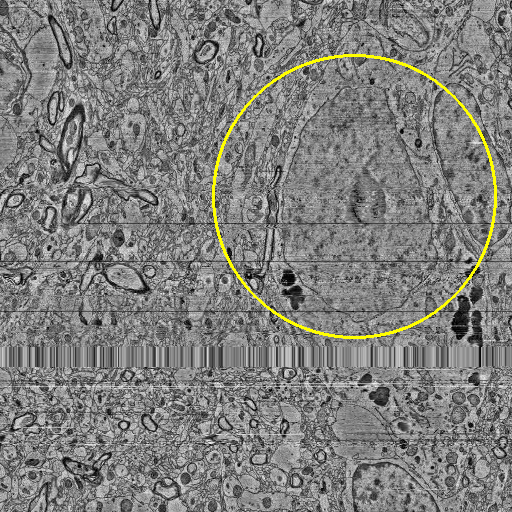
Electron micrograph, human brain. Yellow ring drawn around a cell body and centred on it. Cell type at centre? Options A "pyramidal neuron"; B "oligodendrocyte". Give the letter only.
A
